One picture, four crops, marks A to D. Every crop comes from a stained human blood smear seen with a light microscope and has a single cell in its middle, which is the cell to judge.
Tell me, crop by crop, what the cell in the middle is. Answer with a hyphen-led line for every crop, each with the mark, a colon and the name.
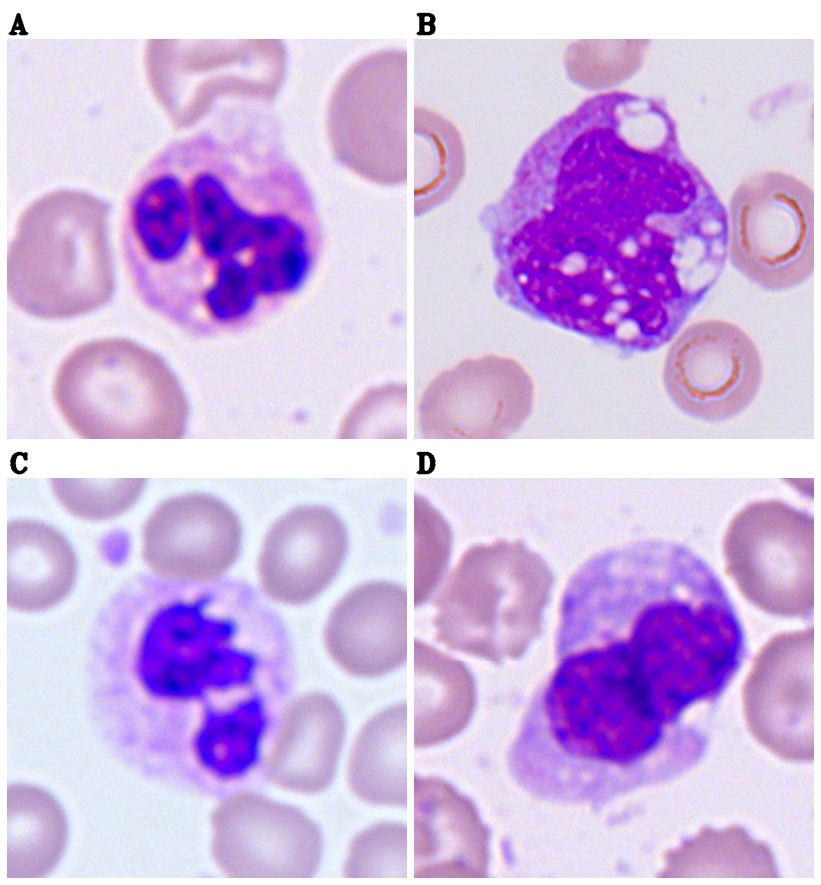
- A: segmented neutrophil
- B: monocyte
- C: segmented neutrophil
- D: monocyte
